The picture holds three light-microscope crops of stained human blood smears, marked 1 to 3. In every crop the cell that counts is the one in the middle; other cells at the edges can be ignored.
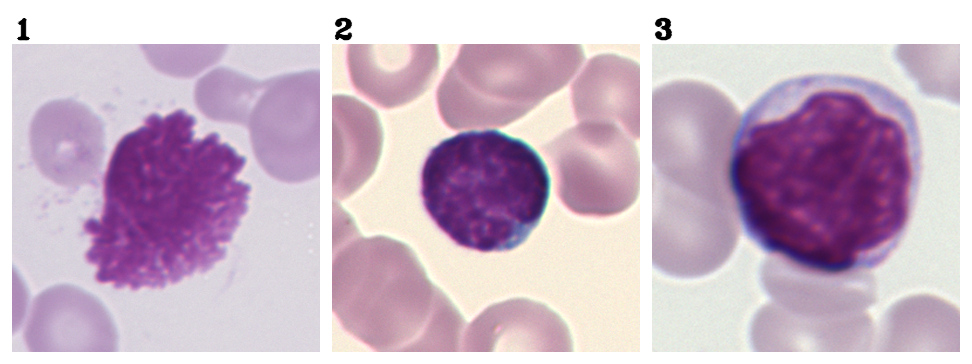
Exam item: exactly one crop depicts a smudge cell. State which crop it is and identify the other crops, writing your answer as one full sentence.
Centred in crop 1 is a smudge cell, while crop 2 is a typical lymphocyte and crop 3 is a large granular lymphocyte.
